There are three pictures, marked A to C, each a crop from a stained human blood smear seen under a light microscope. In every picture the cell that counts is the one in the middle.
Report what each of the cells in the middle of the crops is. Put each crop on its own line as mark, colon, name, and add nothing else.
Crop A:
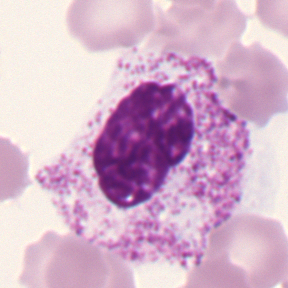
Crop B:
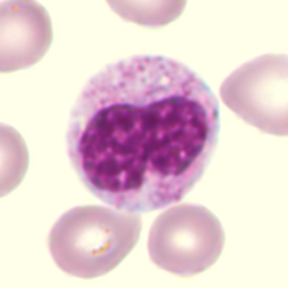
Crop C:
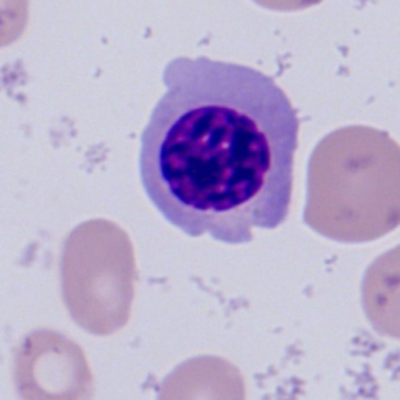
A: band neutrophil
B: band neutrophil
C: erythroblast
